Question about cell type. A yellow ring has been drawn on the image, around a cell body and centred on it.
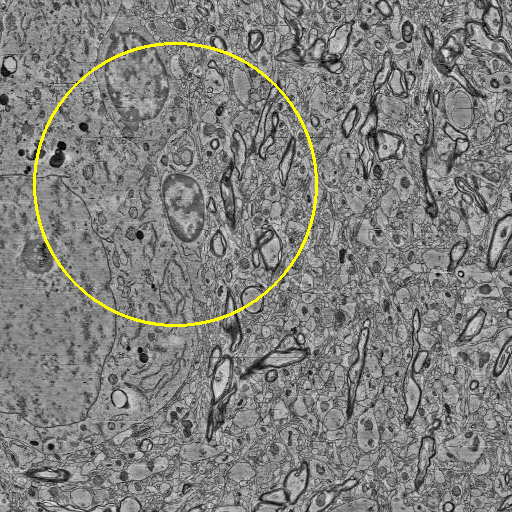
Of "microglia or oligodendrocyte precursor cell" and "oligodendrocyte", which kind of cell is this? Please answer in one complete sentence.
At the centre of the ring lies a microglial cell or oligodendrocyte precursor cell.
